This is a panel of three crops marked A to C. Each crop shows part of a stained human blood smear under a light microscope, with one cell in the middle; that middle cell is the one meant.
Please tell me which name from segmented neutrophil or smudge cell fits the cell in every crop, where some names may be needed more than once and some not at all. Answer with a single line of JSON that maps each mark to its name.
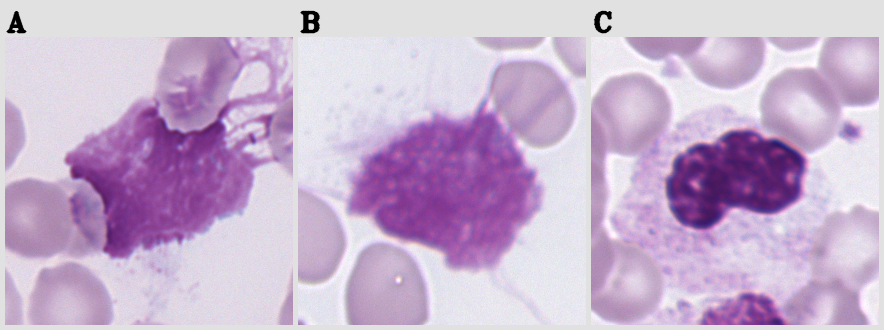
{"A": "smudge cell", "B": "smudge cell", "C": "segmented neutrophil"}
